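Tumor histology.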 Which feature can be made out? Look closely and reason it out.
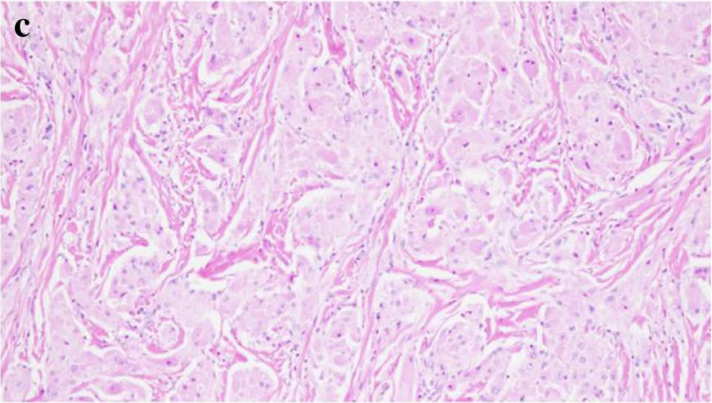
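Thin bright pink fibrous strands run between groups of pale cells. That points to this answer: thin collagenous bands.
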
